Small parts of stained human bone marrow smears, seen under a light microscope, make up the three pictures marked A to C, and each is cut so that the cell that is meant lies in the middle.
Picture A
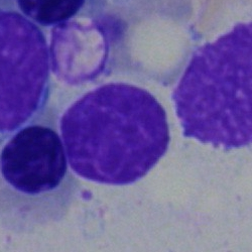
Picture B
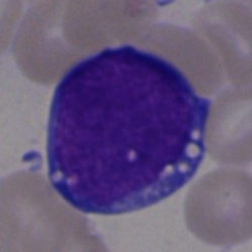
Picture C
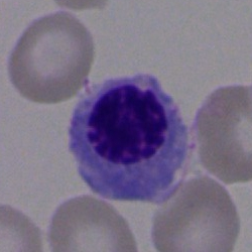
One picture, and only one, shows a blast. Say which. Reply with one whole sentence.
Picture B shows the blast.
